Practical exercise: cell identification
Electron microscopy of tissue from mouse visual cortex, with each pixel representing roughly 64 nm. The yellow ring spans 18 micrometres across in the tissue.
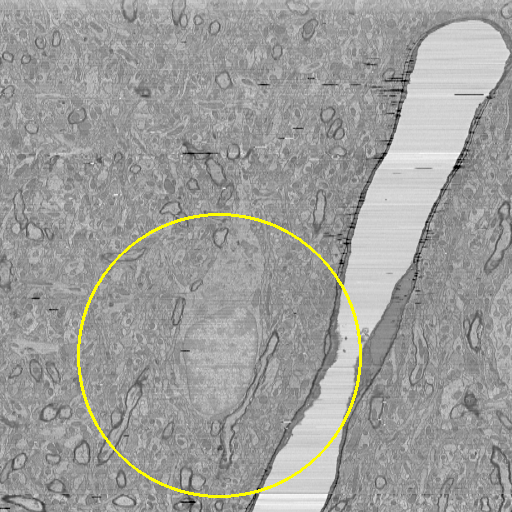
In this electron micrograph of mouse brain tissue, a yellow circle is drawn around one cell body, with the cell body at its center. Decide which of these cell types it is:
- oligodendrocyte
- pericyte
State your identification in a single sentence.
The ringed cell is an oligodendrocyte.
